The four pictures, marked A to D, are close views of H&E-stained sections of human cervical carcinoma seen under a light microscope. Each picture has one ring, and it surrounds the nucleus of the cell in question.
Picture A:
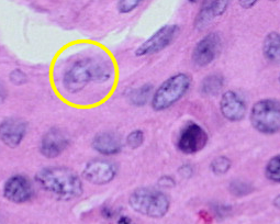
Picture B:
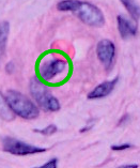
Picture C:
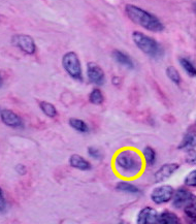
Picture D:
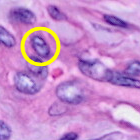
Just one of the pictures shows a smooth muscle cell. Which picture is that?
C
